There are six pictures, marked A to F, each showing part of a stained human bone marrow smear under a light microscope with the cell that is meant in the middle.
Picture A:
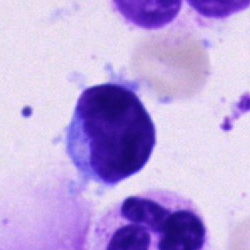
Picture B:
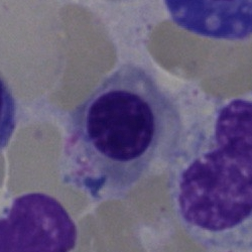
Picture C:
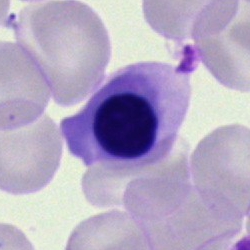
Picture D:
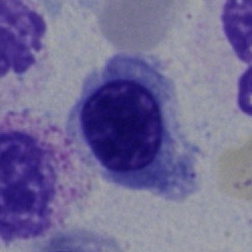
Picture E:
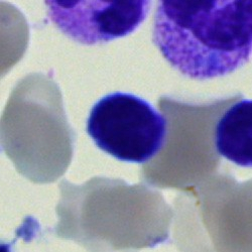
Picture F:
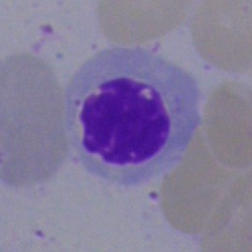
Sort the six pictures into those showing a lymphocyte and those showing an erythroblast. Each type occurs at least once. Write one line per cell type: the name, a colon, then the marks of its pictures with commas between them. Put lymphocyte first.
lymphocyte: A, E
erythroblast: B, C, D, F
